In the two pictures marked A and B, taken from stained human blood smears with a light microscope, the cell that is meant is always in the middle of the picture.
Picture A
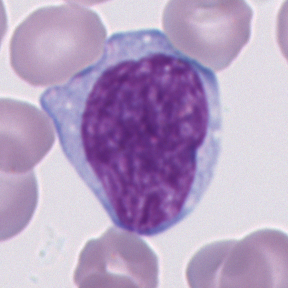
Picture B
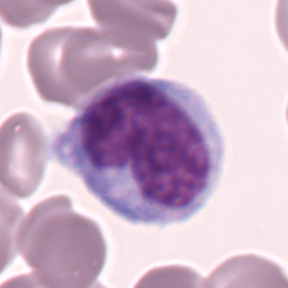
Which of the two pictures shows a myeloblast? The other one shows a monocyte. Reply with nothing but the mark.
A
